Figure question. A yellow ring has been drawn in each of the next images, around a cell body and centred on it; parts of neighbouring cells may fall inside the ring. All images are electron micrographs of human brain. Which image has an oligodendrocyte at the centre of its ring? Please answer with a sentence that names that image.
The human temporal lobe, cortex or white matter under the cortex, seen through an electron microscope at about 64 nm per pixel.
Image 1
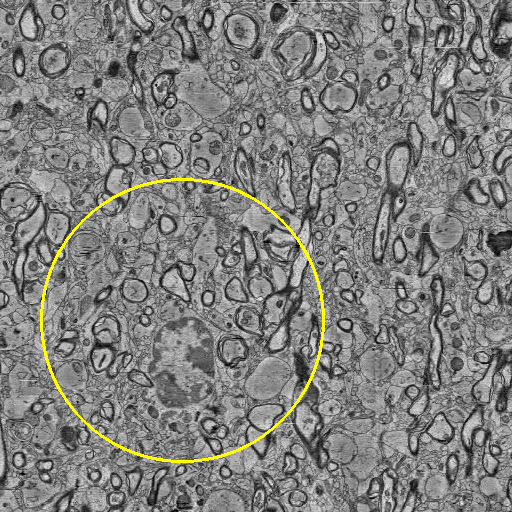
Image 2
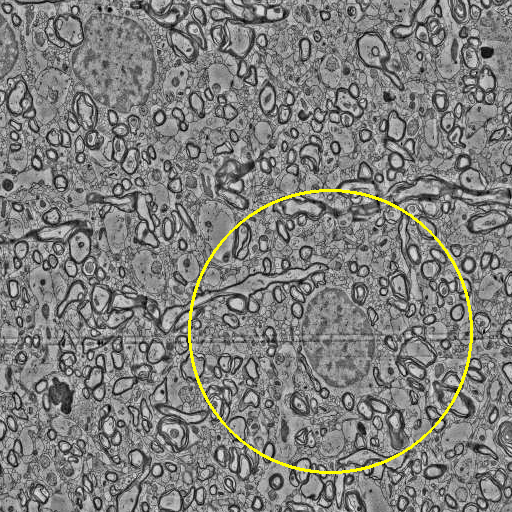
The cell at the centre of the ring in Image 2 is of that kind.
